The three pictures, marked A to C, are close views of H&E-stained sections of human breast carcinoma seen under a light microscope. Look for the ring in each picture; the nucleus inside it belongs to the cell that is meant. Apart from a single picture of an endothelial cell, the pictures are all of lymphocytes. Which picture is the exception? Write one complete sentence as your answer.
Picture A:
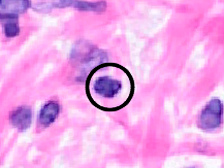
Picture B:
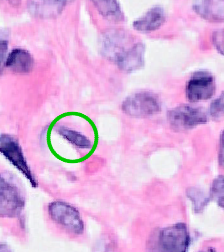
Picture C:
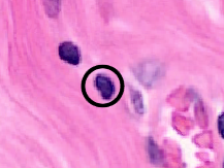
The endothelial cell is the one in picture B.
